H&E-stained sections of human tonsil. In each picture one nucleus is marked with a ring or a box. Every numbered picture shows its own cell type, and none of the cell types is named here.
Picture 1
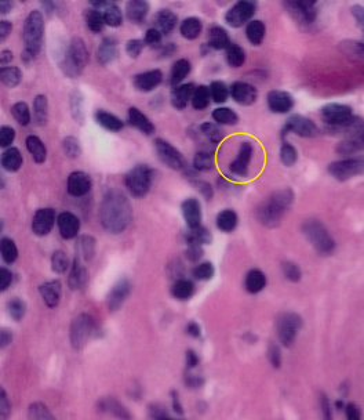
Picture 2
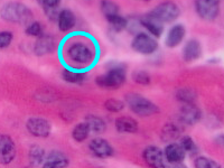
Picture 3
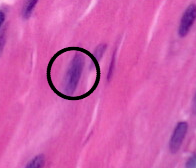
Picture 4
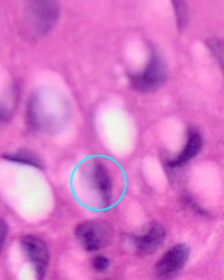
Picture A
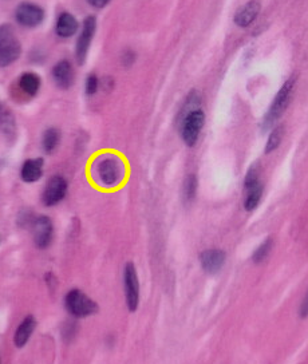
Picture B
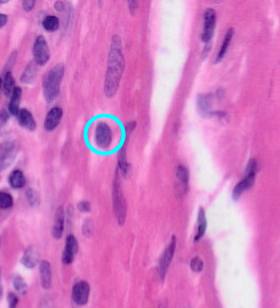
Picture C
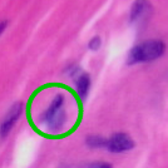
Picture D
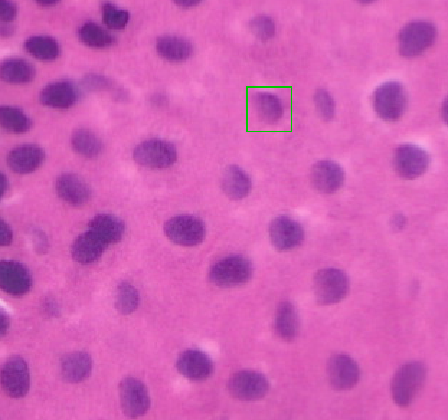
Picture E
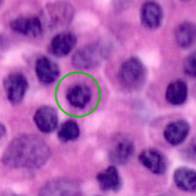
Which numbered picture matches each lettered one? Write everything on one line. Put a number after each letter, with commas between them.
A 1, B 1, C 1, D 4, E 2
